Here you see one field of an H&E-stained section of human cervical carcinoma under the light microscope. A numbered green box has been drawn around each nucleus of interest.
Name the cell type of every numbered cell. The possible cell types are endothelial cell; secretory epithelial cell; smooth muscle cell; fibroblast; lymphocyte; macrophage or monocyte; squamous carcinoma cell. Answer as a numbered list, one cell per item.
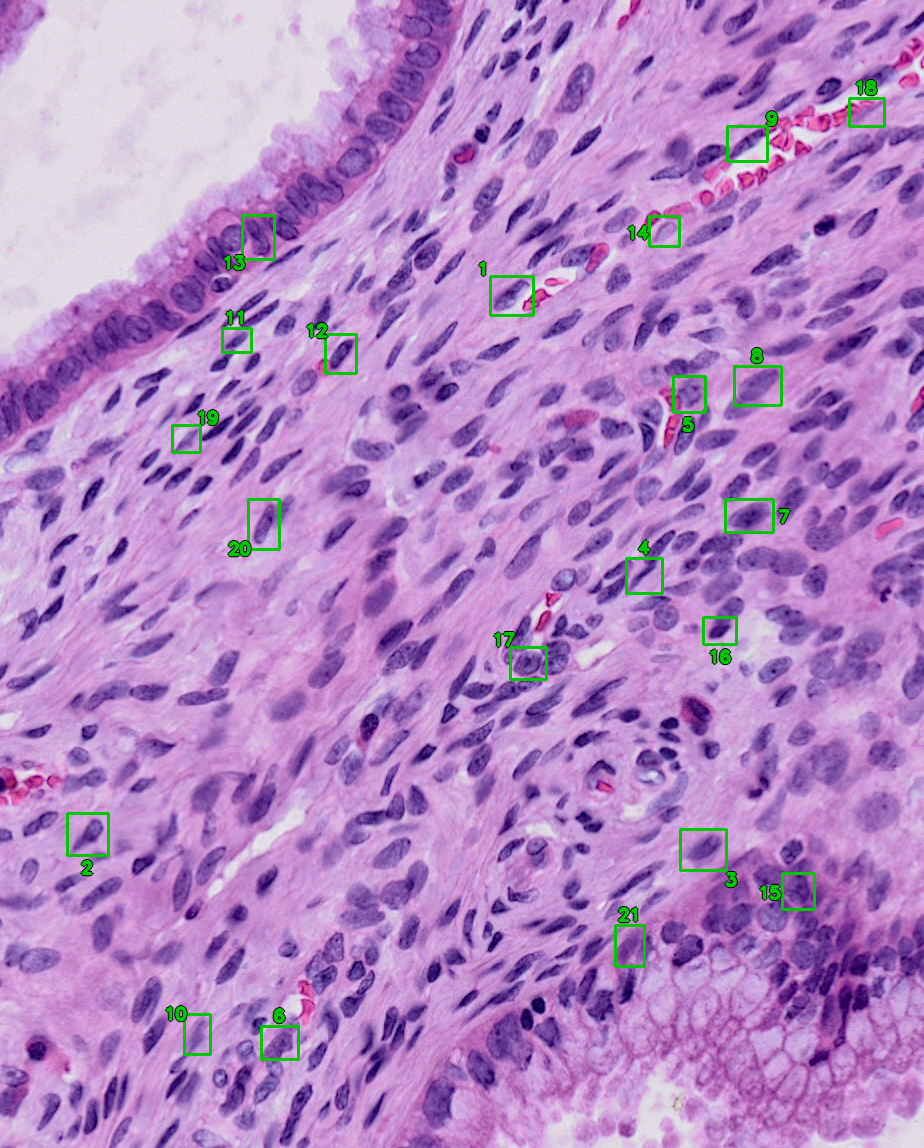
1. endothelial cell
2. fibroblast
3. fibroblast
4. fibroblast
5. endothelial cell
6. endothelial cell
7. fibroblast
8. fibroblast
9. endothelial cell
10. fibroblast
11. fibroblast
12. endothelial cell
13. secretory epithelial cell
14. endothelial cell
15. secretory epithelial cell
16. lymphocyte
17. endothelial cell
18. endothelial cell
19. fibroblast
20. fibroblast
21. secretory epithelial cell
